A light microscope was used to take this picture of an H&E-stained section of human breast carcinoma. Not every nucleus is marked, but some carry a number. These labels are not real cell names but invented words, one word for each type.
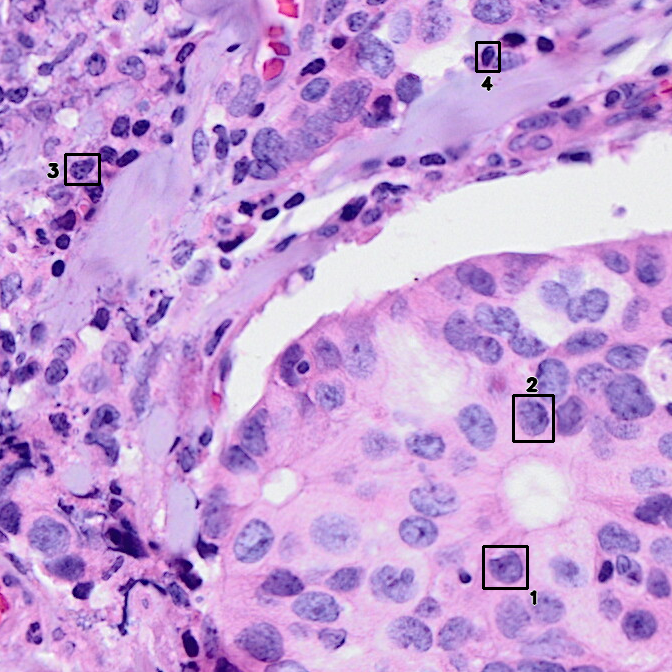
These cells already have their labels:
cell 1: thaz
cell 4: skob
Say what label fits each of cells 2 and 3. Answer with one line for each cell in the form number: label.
2: thaz
3: skob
